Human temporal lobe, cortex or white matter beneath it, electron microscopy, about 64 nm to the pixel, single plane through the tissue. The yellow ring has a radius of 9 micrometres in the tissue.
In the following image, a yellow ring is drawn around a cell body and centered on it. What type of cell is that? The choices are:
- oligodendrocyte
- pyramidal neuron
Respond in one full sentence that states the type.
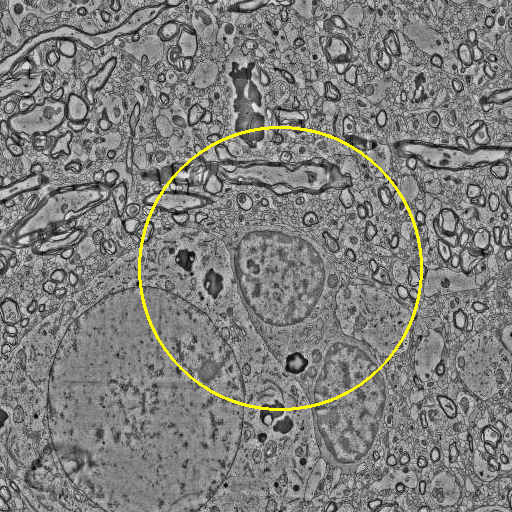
The cell at the center of the yellow ring in the image is an oligodendrocyte.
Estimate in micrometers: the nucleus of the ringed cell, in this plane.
In this plane, the nucleus of the cell at the centre of the ring measures about 7 by 6 micrometres.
